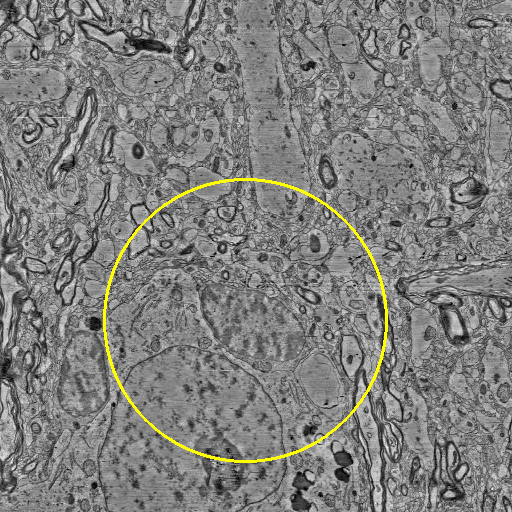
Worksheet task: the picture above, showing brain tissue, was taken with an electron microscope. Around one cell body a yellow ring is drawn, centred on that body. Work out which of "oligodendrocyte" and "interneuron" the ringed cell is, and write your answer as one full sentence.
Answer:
It is an oligodendrocyte whose cell body lies at the centre of the yellow ring.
